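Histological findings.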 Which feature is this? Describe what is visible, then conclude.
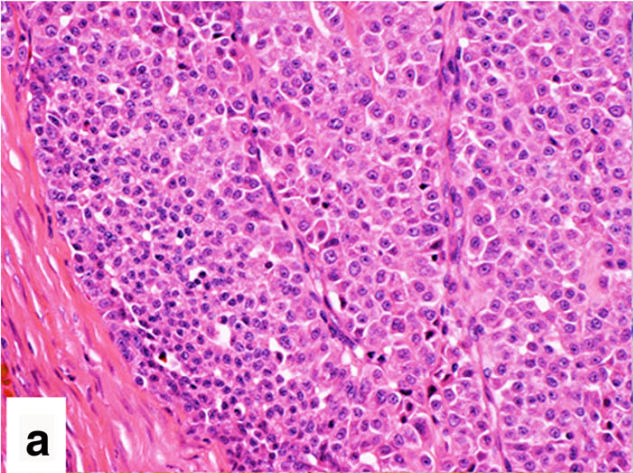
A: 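Nests. Closely packed cells form solid groups. Thin pink fibrous strands with elongated nuclei separate the cell groups. Dense pink fibrous tissue borders the cell groups at the left.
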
